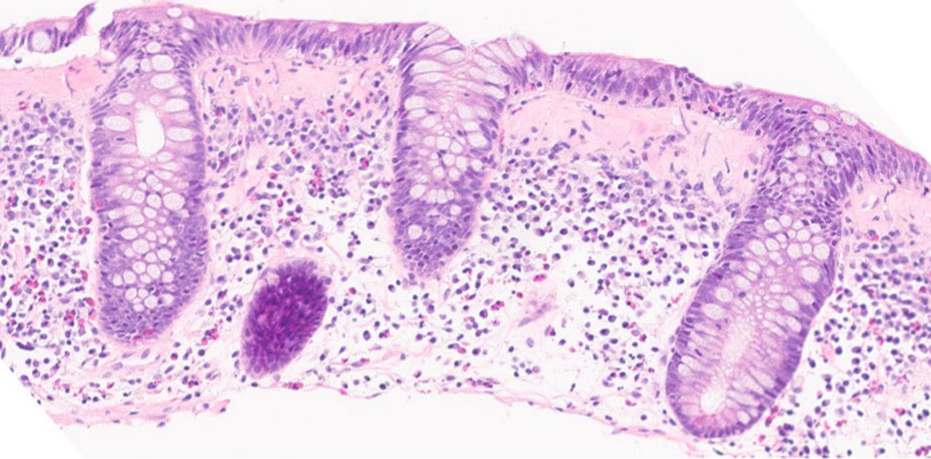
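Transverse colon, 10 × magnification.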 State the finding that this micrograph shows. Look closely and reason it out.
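Increased chronic inflammation in the superficial lamina. The lamina propria between crypts is crowded with small round dark nuclei. Scattered cells with red granular cytoplasm lie among the round cells.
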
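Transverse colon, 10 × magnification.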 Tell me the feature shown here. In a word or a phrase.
Thick subepithelial collagen band.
